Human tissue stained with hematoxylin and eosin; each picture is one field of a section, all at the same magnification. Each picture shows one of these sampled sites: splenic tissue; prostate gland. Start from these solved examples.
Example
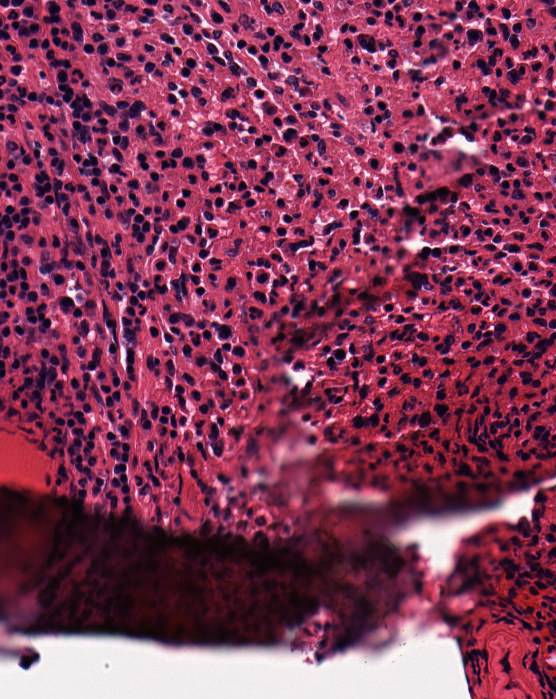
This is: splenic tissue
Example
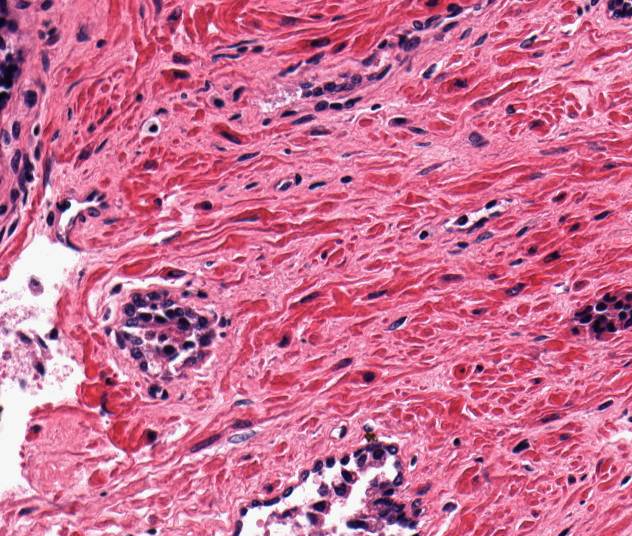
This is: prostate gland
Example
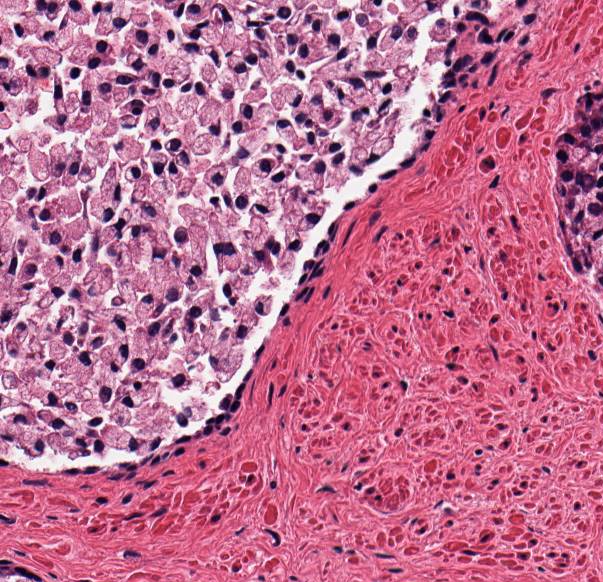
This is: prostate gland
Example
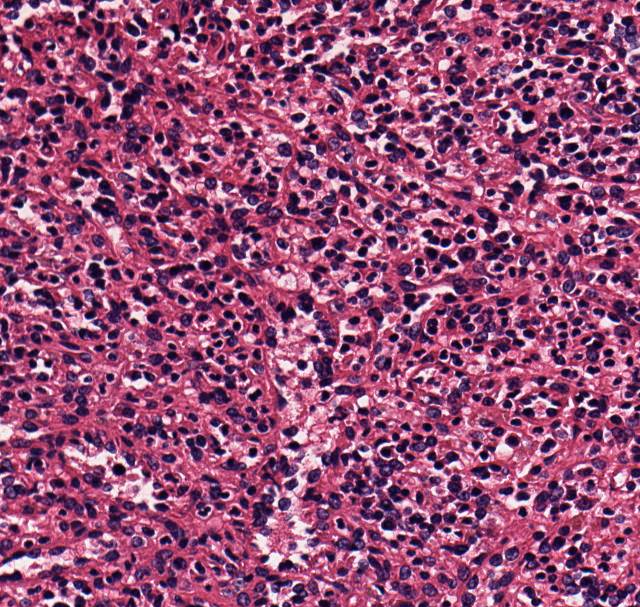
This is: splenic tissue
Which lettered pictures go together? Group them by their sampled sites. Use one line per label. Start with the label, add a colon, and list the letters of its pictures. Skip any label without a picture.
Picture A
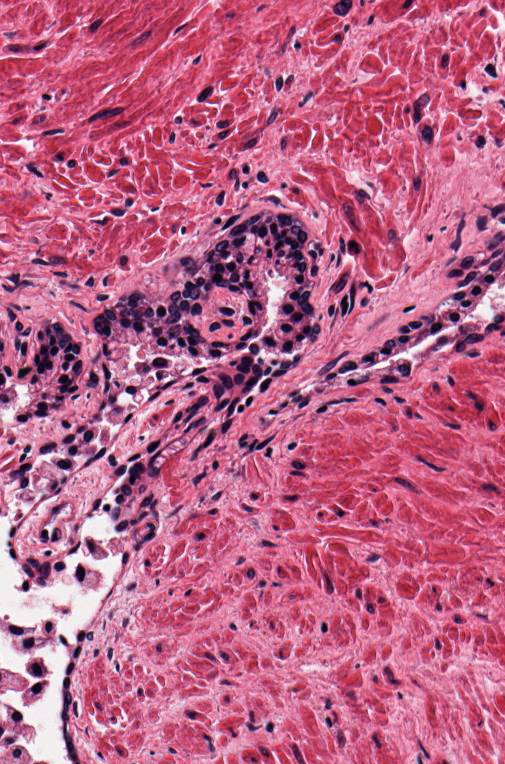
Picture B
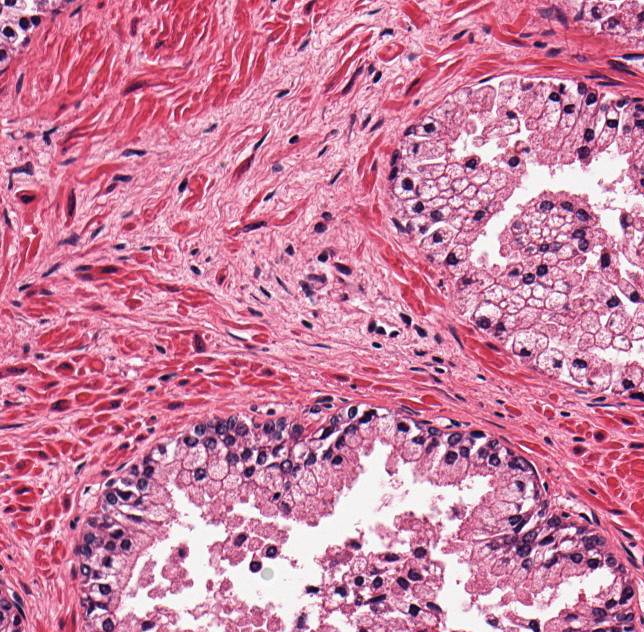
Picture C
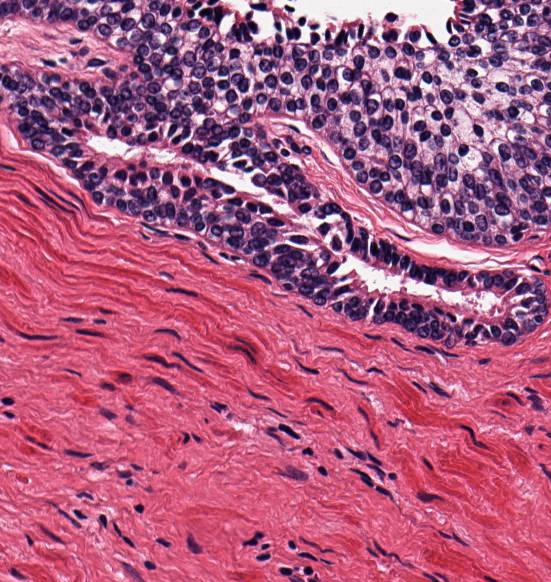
prostate gland: A, B, C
